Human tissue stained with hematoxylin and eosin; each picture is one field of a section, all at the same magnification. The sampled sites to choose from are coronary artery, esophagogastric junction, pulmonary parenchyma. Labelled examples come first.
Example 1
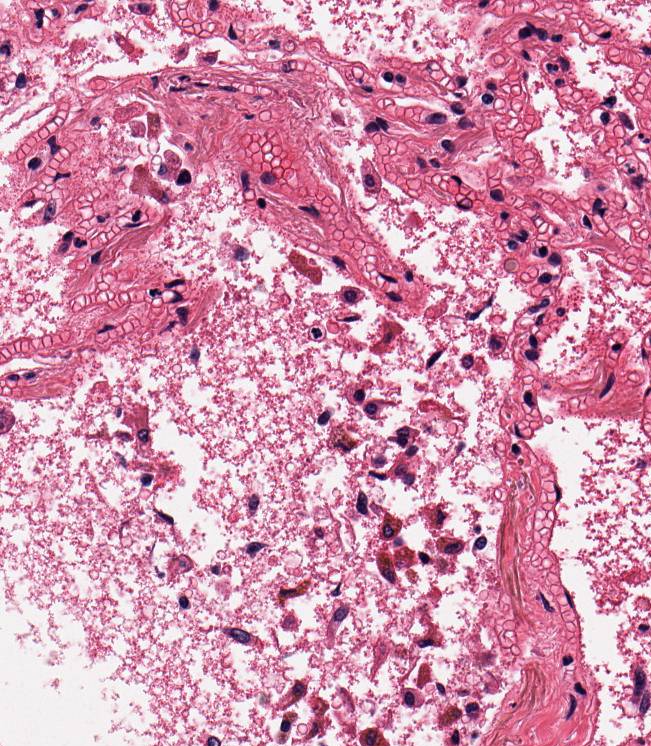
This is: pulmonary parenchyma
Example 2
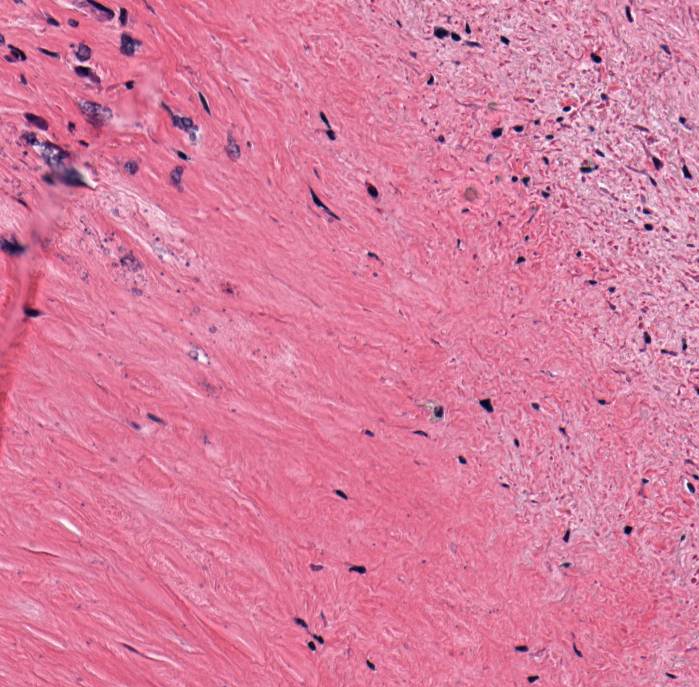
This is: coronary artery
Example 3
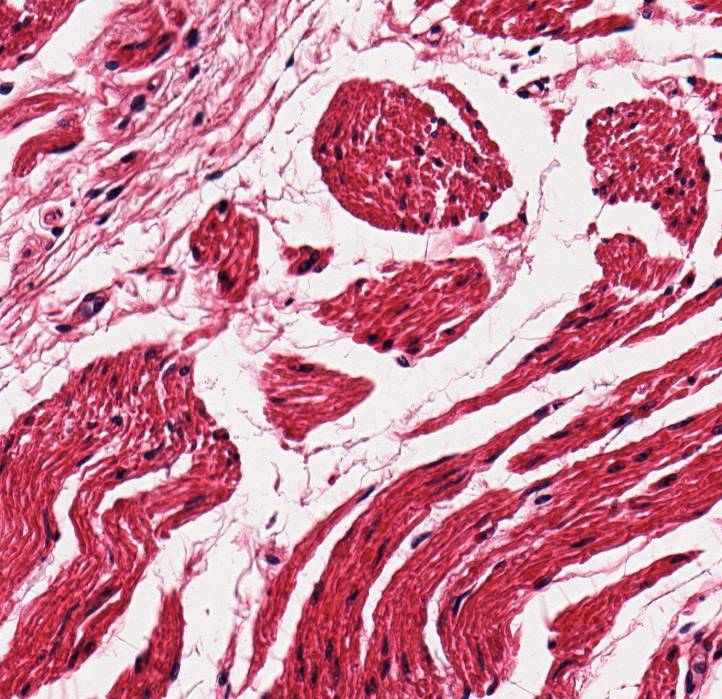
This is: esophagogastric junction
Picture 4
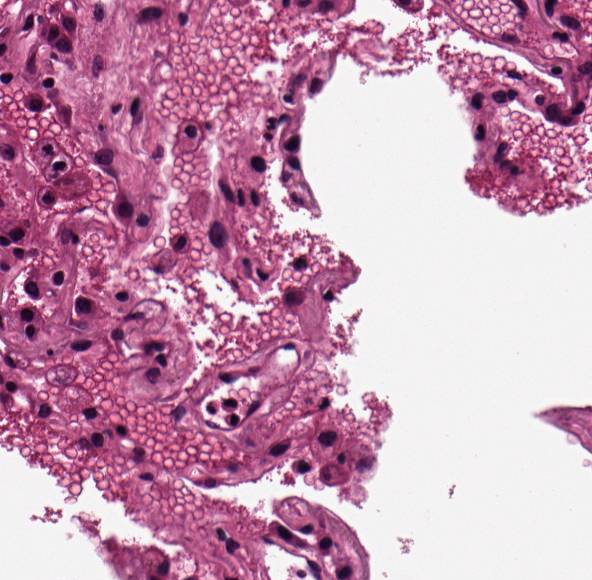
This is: pulmonary parenchyma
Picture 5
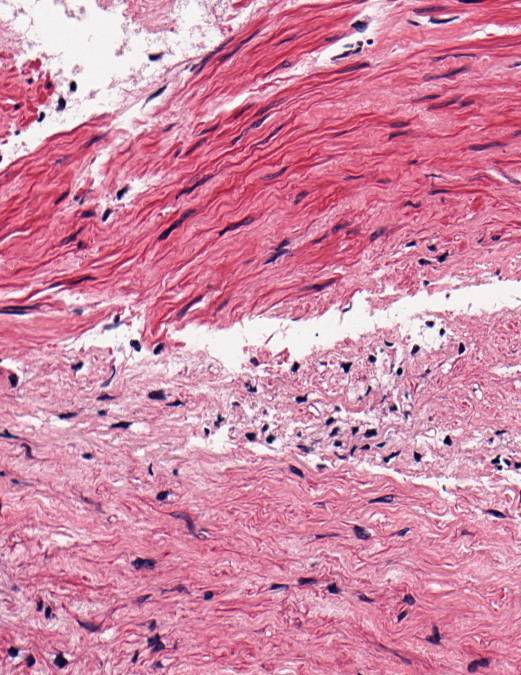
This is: coronary artery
